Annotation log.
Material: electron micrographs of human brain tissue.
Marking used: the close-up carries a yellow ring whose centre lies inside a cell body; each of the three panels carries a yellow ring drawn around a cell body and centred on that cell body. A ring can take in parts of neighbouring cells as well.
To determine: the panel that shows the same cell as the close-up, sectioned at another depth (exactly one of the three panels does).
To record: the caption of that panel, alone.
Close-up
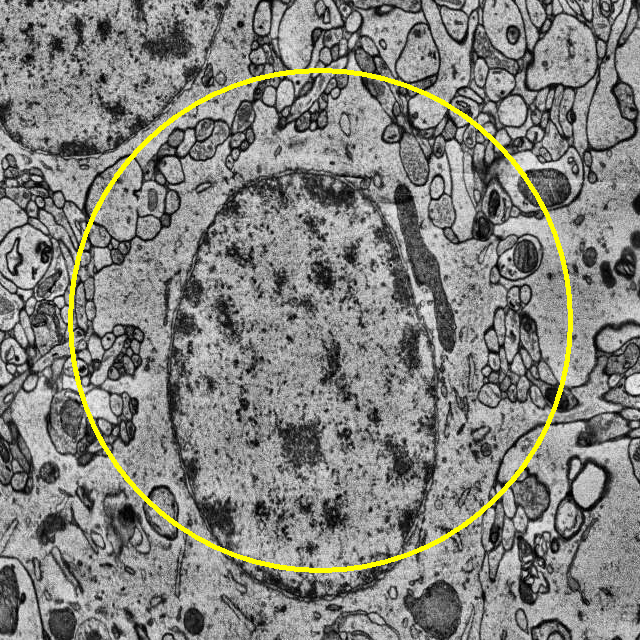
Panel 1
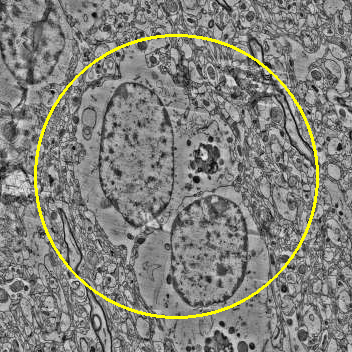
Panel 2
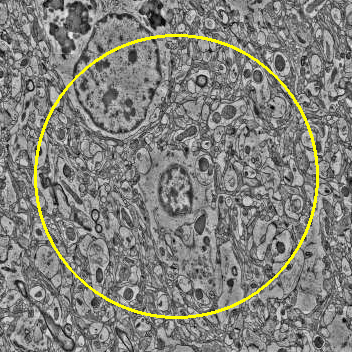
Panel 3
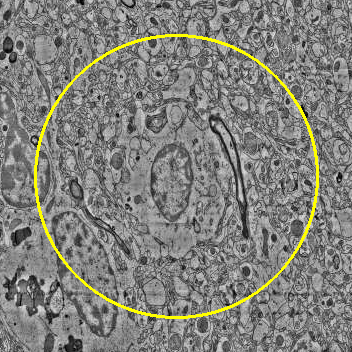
Panel 2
